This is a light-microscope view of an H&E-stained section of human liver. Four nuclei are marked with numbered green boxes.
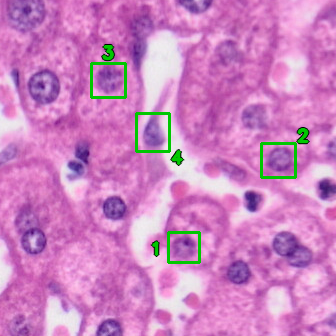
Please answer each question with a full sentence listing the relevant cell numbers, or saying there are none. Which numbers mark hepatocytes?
The cells the numbers 1, 2 and 3 point to are hepatocytes.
